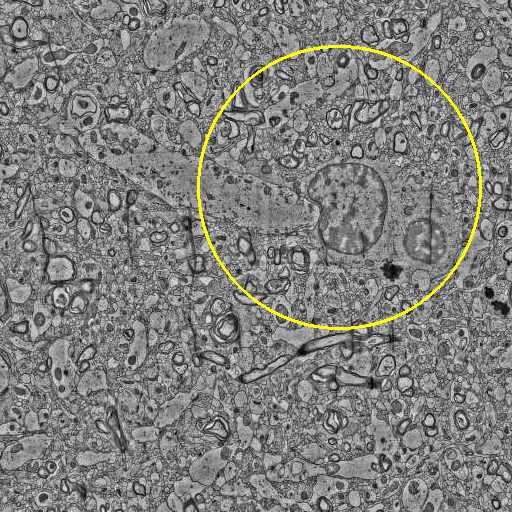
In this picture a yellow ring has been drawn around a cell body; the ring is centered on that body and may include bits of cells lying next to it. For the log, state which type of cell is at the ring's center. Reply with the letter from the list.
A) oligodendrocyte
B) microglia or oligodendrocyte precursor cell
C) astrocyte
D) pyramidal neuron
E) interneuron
A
